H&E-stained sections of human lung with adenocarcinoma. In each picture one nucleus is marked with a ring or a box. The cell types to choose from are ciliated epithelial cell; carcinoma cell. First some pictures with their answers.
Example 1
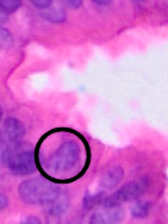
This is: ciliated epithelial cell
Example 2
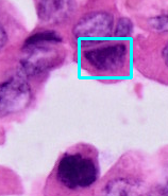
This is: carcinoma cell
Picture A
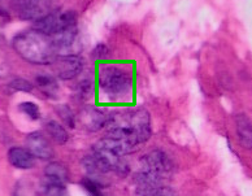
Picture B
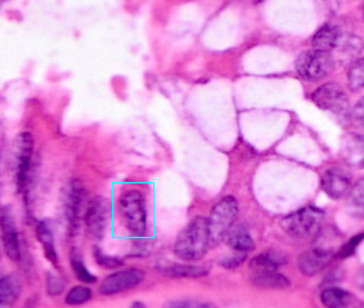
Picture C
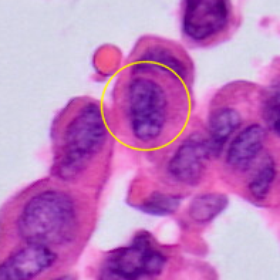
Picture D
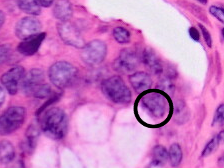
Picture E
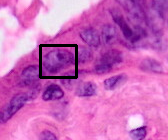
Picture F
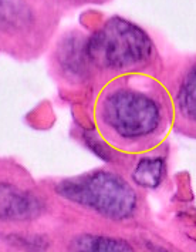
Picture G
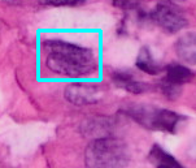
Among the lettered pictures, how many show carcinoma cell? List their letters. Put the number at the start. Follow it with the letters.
Count: 2 (C, F)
